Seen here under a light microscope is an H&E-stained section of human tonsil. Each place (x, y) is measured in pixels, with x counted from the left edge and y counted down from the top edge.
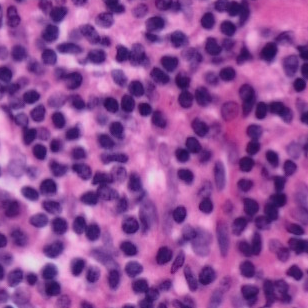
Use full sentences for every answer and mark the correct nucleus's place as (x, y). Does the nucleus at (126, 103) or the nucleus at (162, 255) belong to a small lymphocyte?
The cell to which the nucleus at (126, 103) belongs is a small lymphocyte.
